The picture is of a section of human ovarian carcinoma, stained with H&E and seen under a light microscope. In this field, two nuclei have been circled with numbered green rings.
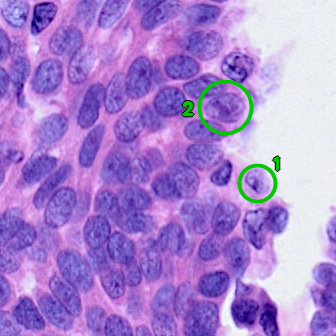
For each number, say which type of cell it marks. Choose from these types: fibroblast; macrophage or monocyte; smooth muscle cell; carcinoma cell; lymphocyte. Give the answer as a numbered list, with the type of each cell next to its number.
1. macrophage or monocyte
2. carcinoma cell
